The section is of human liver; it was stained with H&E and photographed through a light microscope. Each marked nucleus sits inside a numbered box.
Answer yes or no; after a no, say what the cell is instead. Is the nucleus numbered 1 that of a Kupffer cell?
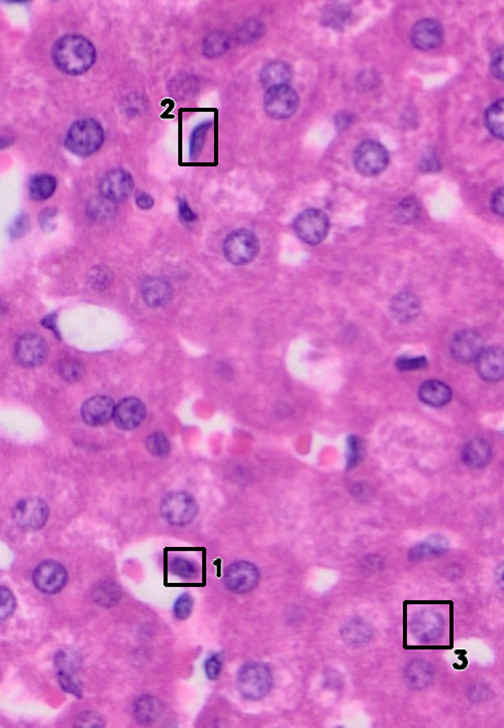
Yes.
